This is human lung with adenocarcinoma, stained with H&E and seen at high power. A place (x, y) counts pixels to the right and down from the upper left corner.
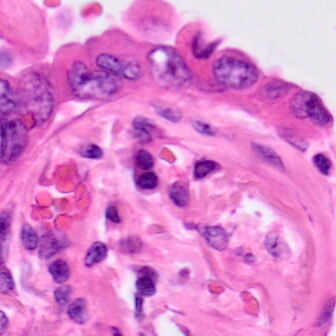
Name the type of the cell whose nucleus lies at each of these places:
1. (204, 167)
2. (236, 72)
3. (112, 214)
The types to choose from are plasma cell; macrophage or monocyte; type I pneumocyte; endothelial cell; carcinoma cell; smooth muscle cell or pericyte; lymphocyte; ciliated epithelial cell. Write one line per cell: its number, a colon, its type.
1: plasma cell
2: carcinoma cell
3: plasma cell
